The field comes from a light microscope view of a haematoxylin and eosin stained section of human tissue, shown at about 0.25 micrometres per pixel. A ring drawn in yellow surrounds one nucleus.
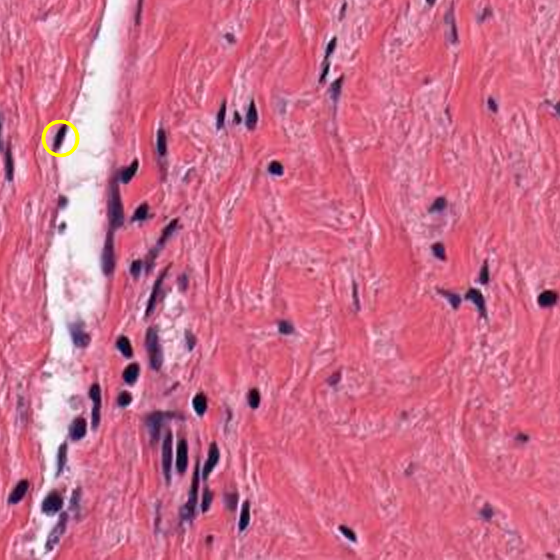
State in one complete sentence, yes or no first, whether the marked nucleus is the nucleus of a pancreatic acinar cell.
No, the marked nucleus does not come from a pancreatic acinar cell but from a supporting cell.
